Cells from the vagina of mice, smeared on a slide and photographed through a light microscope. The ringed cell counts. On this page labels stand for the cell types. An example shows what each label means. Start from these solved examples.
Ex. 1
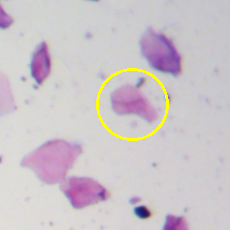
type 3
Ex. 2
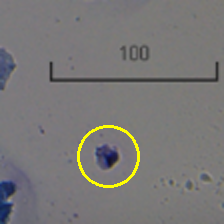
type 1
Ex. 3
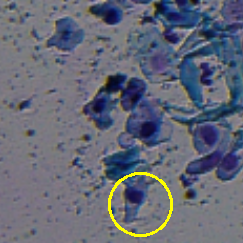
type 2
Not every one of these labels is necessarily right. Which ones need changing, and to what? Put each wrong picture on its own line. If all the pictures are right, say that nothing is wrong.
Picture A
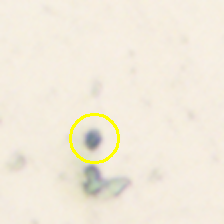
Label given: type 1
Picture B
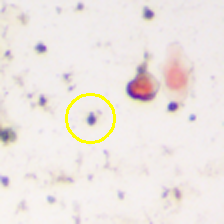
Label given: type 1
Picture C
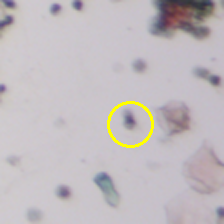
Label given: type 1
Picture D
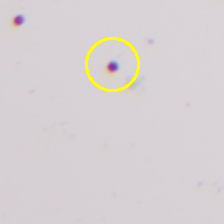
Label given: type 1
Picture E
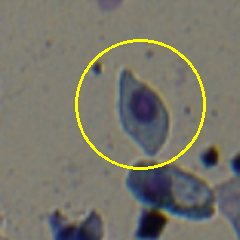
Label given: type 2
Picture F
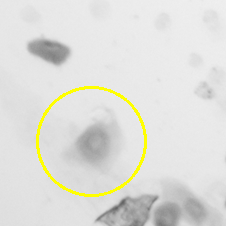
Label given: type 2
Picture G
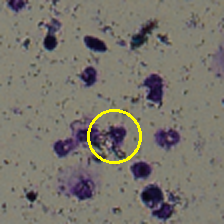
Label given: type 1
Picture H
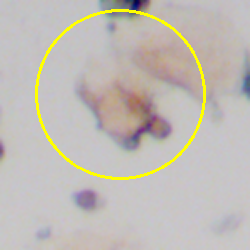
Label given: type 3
No label is wrong.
